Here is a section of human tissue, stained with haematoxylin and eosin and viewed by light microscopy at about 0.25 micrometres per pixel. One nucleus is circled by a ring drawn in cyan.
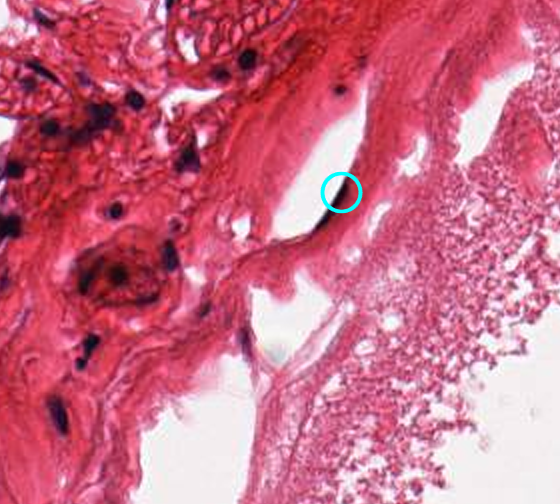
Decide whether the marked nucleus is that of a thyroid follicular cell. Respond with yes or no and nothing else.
no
